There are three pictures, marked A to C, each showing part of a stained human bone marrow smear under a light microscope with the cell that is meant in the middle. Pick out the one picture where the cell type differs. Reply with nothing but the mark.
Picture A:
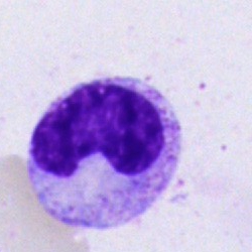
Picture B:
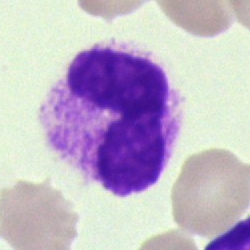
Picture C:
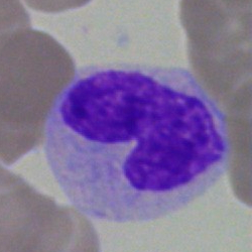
A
